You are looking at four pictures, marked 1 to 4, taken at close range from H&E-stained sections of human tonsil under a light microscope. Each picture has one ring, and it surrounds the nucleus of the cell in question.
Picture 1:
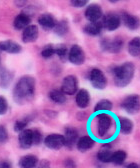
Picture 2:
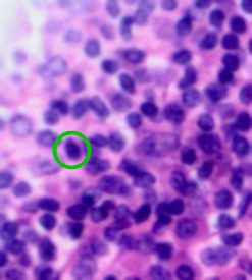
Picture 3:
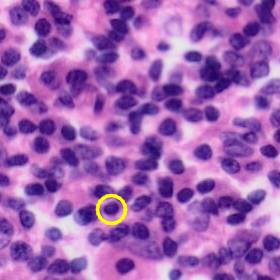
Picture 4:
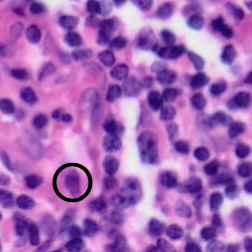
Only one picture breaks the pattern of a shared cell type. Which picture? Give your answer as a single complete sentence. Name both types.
The others show small lymphocytes, but picture 4 shows an endothelial cell.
